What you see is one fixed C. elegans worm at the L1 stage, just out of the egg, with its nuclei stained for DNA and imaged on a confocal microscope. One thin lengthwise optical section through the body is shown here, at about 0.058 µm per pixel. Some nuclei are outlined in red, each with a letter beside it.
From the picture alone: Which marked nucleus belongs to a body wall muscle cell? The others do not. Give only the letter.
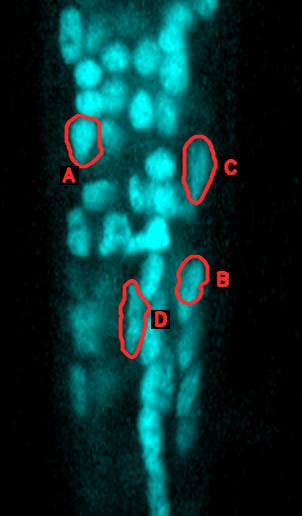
C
